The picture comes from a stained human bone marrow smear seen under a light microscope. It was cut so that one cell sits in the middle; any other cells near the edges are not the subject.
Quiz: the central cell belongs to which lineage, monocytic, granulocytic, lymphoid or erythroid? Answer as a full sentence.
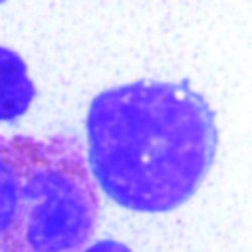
The cell at the center is recorded as lymphoid in lineage.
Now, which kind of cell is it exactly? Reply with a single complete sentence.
The central cell in this smear crop is a lymphocyte.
